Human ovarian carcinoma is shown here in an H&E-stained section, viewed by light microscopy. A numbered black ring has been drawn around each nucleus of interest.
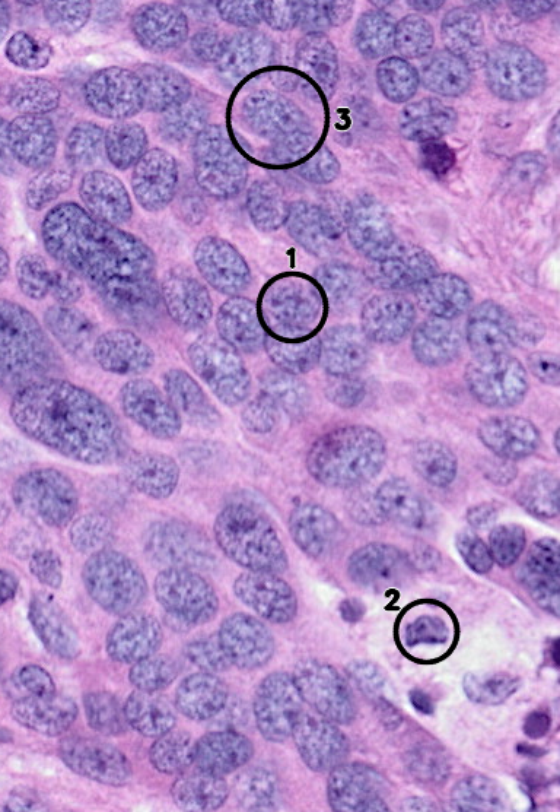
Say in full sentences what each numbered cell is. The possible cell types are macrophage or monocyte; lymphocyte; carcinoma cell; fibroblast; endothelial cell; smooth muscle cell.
Cells 1 and 3 are carcinoma cells. Cell 2 is a macrophage or monocyte.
